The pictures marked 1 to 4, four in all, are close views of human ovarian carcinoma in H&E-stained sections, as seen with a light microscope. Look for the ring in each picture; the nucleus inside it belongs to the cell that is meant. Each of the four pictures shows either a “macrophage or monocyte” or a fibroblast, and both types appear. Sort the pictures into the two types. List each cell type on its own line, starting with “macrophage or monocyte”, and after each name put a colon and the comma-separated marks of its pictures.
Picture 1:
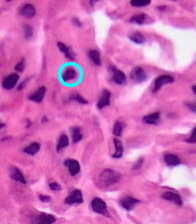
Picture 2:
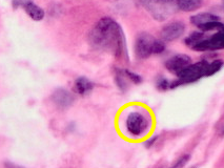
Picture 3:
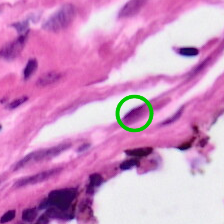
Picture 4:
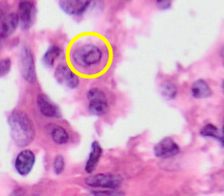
macrophage or monocyte: 2, 4
fibroblast: 1, 3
